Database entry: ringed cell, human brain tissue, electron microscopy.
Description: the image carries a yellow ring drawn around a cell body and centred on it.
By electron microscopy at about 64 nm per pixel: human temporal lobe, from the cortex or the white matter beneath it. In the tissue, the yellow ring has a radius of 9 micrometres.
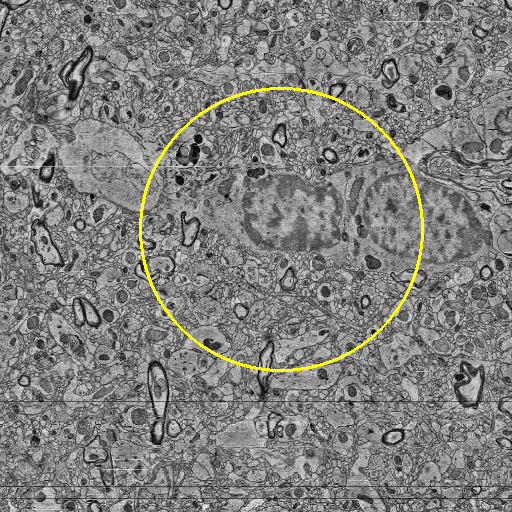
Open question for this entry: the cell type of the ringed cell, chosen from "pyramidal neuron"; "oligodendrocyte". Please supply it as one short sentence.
The ringed cell is an oligodendrocyte.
